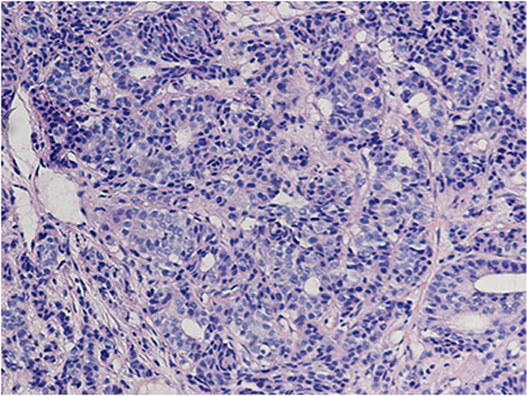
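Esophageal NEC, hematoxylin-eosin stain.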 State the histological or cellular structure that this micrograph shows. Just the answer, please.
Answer: Cribriform growth pattern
